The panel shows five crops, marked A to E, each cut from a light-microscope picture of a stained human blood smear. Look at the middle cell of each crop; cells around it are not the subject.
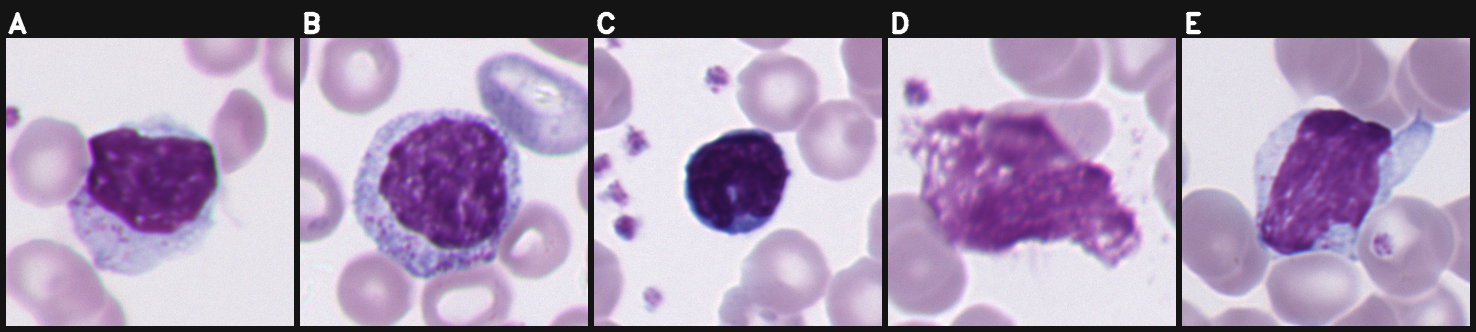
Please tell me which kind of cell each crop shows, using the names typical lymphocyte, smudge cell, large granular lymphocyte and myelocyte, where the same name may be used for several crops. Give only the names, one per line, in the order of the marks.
large granular lymphocyte
myelocyte
typical lymphocyte
smudge cell
large granular lymphocyte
